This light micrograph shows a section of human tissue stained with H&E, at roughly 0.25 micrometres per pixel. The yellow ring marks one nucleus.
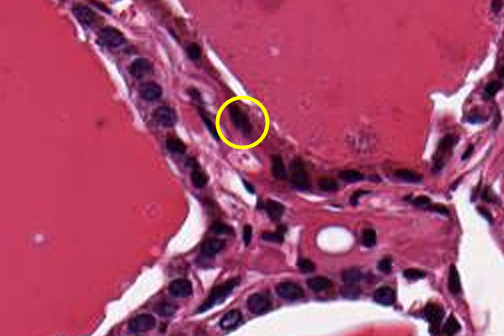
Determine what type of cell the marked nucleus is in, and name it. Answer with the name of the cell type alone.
thyroid follicular cell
